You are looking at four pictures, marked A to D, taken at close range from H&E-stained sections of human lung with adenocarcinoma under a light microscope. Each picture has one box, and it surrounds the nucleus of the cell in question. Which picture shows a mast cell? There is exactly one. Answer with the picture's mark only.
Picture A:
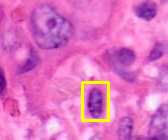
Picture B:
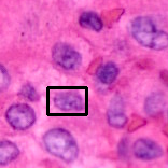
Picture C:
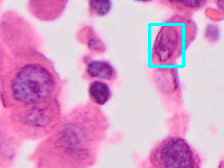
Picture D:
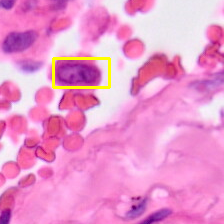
A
